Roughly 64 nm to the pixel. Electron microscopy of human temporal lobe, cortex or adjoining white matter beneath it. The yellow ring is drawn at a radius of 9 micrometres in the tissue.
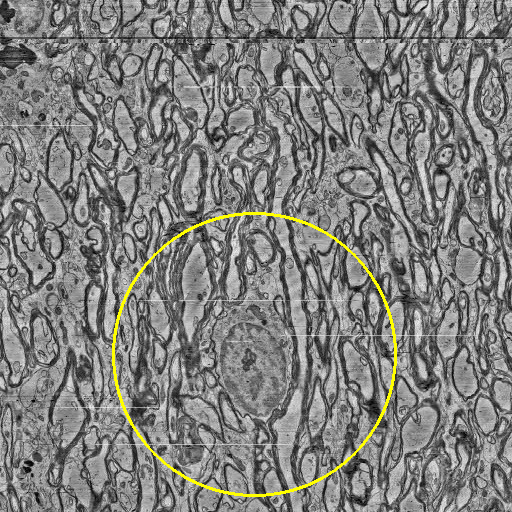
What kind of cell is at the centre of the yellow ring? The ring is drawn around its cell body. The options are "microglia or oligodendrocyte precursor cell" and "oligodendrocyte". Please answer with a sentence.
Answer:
The yellow ring marks the cell body of an oligodendrocyte.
